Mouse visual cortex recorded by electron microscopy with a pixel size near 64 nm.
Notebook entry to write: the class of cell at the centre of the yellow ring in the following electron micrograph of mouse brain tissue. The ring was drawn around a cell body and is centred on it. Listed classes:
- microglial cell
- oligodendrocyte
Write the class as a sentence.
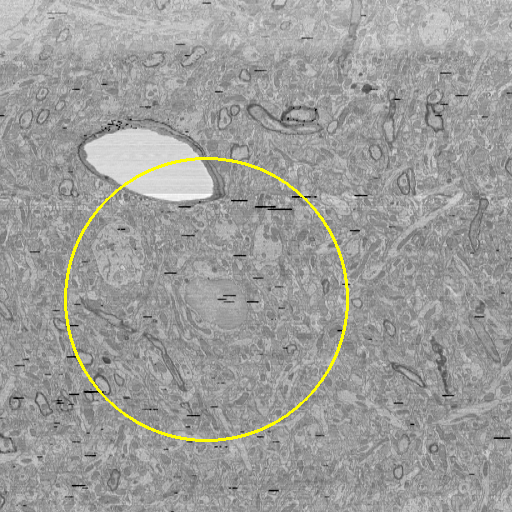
The yellow ring sits on a microglial cell.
